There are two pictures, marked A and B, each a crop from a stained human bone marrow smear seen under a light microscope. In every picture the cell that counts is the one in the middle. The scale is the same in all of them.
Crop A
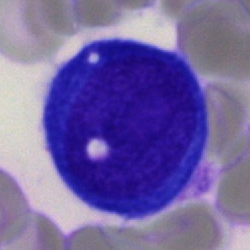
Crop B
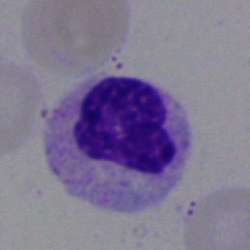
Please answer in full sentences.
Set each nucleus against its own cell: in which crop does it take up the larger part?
Of the two, the nucleus in crop A makes up the greater part of its cell.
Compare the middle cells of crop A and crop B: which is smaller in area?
Smaller is the cell in crop B, and the other is about 1.5 times as large in area.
